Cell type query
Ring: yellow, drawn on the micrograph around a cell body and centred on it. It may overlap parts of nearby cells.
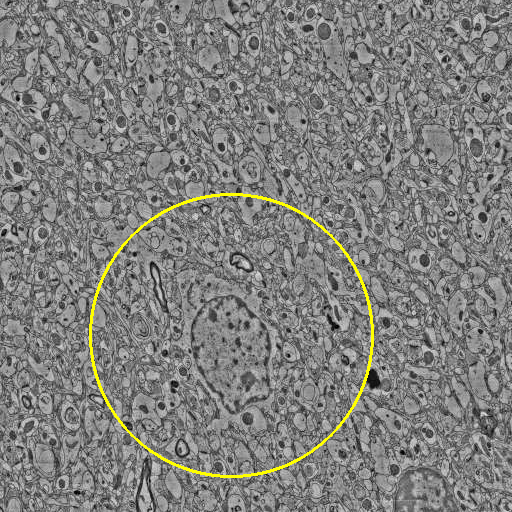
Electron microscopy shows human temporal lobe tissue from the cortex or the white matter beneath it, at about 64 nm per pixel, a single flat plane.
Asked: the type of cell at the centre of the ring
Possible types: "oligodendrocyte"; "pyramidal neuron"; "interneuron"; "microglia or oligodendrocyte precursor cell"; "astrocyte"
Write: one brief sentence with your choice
The ring marks an astrocyte.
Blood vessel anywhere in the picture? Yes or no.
No, no vessel shows anywhere in the image.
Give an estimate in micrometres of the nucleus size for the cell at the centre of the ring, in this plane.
In this plane the nucleus measures roughly 7 by 5 micrometers.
